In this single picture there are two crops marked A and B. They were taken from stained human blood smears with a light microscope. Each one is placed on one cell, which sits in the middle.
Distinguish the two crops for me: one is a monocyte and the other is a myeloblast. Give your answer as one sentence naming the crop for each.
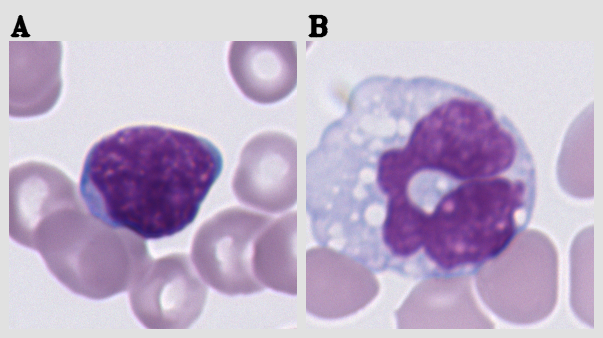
In crop B the central cell is a monocyte, and in crop A it is a myeloblast.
